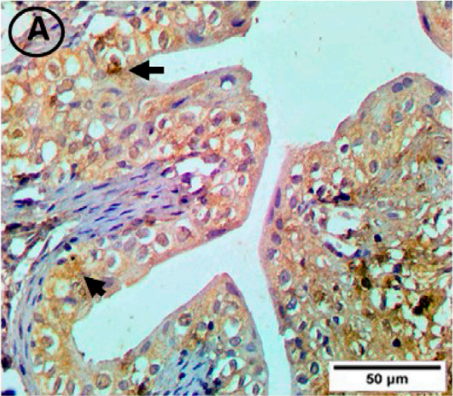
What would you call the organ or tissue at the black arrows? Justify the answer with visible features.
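Uroepithelium. The arrows point into a thick, multilayered epithelium lining a lumen. The epithelium is folded and has a free surface facing an empty lumen. Underneath lies a connective tissue layer of elongated spindle-shaped nuclei.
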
